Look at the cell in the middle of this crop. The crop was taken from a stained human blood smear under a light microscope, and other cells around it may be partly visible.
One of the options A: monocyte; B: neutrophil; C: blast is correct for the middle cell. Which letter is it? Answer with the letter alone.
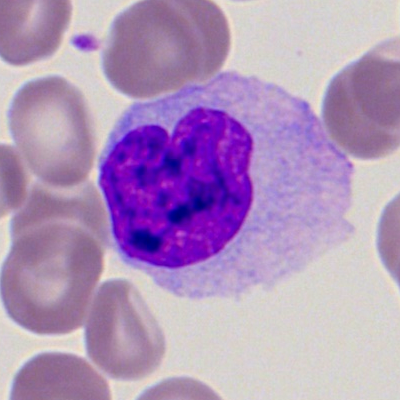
A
